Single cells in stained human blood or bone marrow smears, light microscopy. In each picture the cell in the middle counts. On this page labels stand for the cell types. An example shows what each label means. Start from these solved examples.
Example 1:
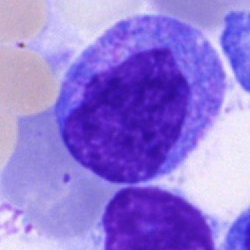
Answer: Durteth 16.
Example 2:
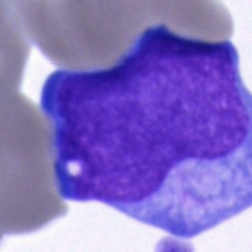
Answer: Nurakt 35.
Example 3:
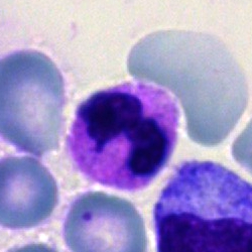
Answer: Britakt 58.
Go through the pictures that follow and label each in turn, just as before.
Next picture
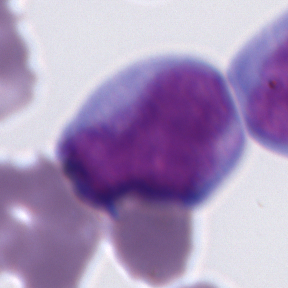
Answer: Nurakt 35.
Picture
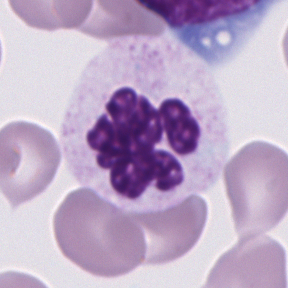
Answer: Britakt 58.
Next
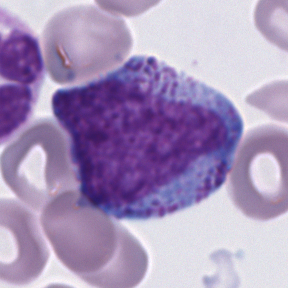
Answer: Durteth 16.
